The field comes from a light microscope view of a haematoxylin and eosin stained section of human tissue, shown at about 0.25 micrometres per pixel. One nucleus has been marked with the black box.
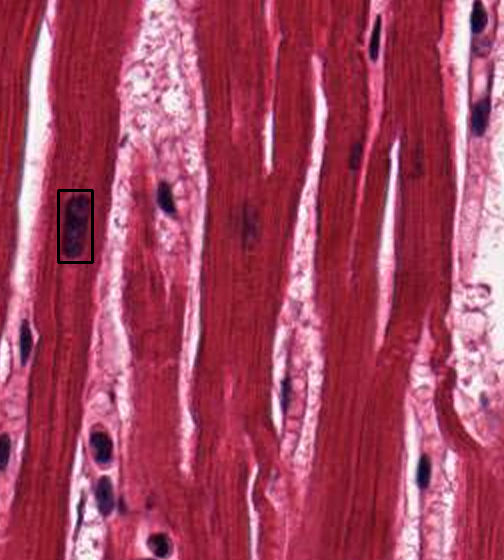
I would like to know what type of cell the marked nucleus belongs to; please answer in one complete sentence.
The marked nucleus lies within a cardiomyocyte.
